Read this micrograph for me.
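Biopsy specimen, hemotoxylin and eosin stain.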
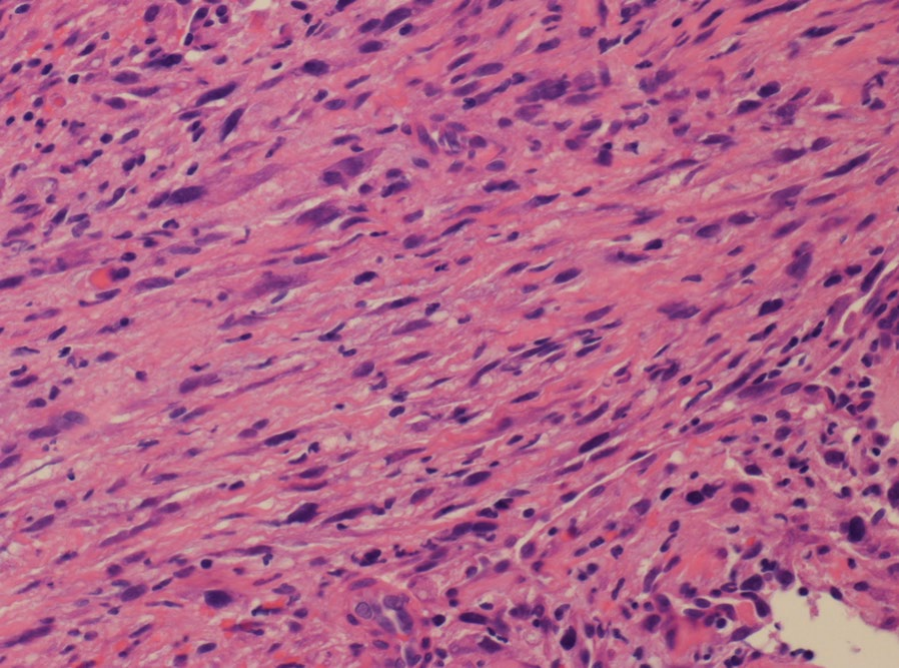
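Elongated spindle-shaped cells run in long parallel streams through pink fibrillary material, and their purple nuclei vary widely, from slender and wavy to large, plump and darkly stained, with a few bizarre enlarged forms. Toward the lower right the cells are more crowded and rounder. This is a picture of pleomorphic atypical spindle cells.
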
